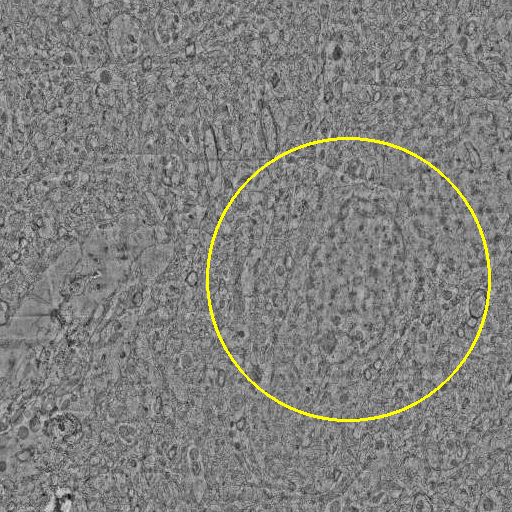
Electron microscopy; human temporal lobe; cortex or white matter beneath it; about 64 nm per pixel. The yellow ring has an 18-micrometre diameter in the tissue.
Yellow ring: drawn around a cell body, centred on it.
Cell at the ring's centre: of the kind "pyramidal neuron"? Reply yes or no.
no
